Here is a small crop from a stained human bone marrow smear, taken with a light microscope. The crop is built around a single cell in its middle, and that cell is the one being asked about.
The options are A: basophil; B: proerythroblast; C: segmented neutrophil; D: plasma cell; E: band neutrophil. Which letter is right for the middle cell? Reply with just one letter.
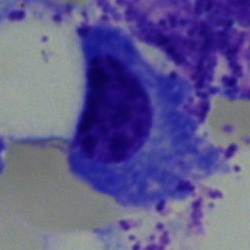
D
